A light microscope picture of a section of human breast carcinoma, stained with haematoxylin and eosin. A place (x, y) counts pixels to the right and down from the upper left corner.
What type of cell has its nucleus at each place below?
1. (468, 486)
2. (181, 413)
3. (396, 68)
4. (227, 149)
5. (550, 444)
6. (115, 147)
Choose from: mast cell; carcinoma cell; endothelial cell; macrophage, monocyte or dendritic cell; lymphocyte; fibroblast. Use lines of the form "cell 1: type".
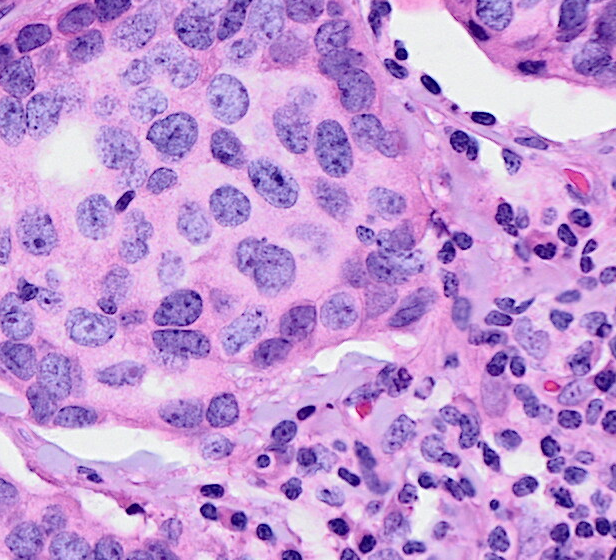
cell 1: lymphocyte
cell 2: carcinoma cell
cell 3: lymphocyte
cell 4: carcinoma cell
cell 5: lymphocyte
cell 6: carcinoma cell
